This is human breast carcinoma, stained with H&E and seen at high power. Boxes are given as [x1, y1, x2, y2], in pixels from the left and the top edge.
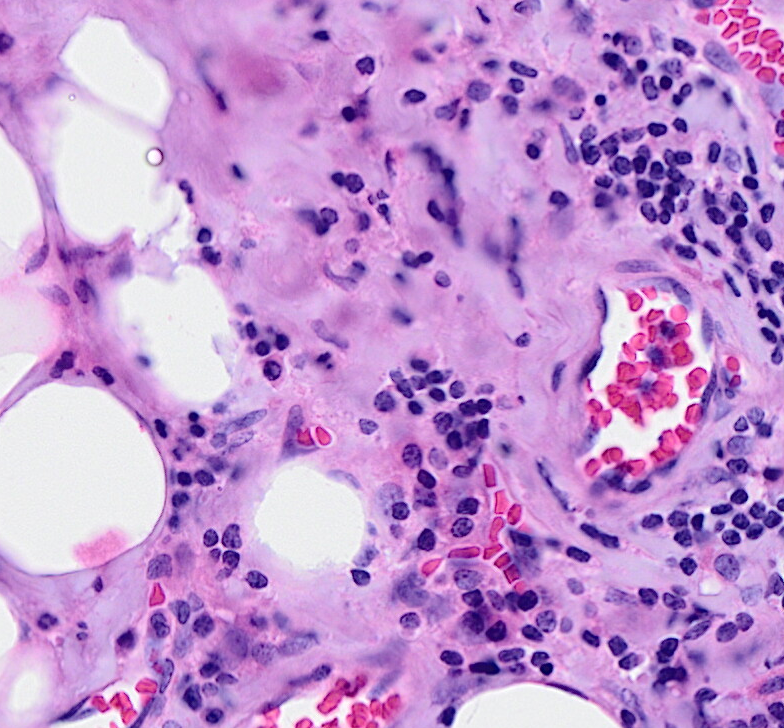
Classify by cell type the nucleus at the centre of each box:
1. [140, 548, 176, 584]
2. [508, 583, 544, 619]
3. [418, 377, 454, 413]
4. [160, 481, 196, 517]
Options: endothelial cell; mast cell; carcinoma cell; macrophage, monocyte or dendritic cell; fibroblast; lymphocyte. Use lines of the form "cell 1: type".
cell 1: endothelial cell
cell 2: lymphocyte
cell 3: lymphocyte
cell 4: lymphocyte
